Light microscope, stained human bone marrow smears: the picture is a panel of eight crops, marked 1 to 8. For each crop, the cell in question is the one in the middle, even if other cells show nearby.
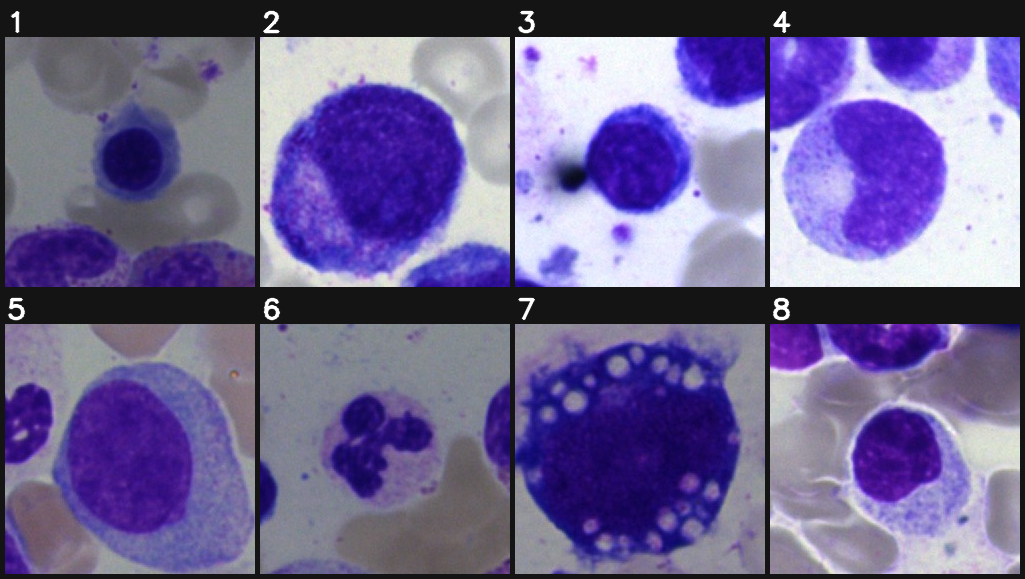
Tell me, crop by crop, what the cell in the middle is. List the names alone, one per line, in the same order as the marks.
erythroblast
promyelocyte
lymphocyte
metamyelocyte
blast
segmented neutrophil
blast
lymphocyte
